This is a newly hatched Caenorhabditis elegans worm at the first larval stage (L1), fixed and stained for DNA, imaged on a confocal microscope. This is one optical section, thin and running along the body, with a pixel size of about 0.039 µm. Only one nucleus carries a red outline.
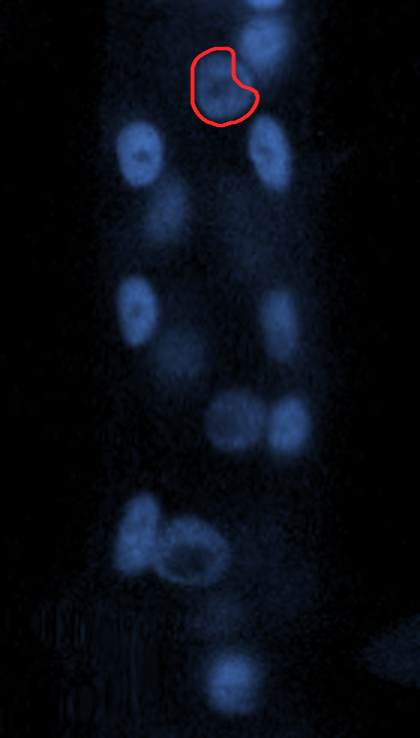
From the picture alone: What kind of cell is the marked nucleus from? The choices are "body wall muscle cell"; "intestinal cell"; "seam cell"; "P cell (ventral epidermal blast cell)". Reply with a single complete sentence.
What is marked is the nucleus of an intestinal cell.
